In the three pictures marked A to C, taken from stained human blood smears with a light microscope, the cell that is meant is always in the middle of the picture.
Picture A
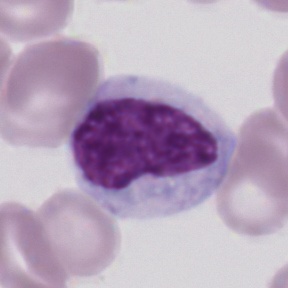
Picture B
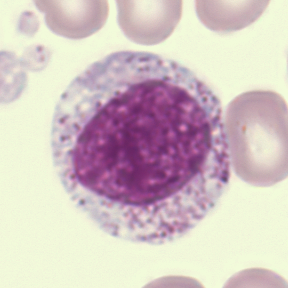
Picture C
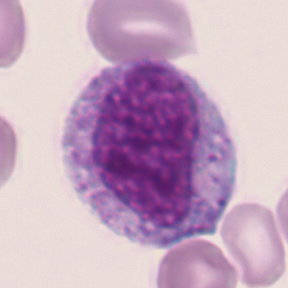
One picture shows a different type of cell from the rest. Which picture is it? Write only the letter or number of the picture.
A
